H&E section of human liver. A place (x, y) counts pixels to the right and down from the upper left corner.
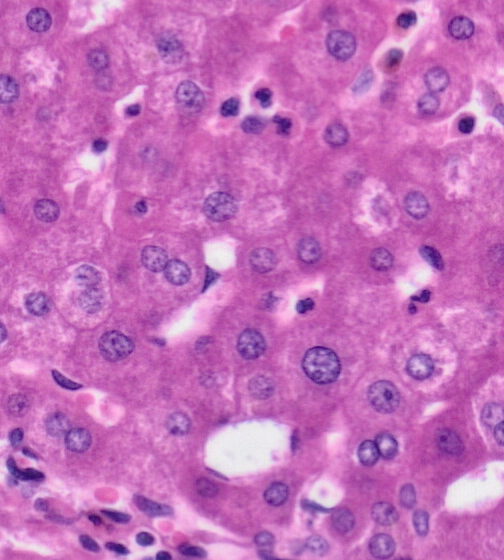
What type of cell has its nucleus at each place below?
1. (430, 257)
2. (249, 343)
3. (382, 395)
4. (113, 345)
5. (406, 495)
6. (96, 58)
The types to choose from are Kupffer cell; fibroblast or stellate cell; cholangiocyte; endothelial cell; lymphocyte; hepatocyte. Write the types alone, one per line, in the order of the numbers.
fibroblast or stellate cell
hepatocyte
hepatocyte
hepatocyte
cholangiocyte
hepatocyte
